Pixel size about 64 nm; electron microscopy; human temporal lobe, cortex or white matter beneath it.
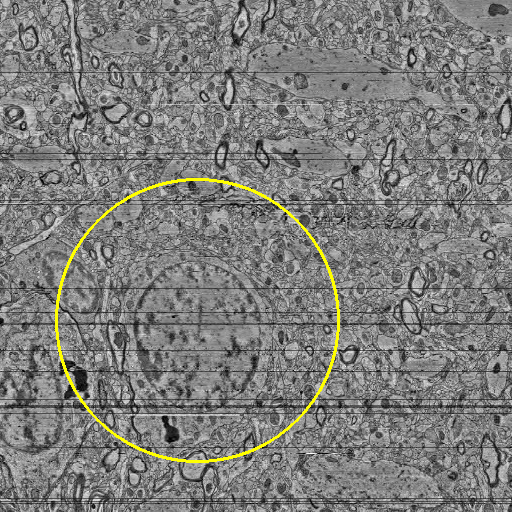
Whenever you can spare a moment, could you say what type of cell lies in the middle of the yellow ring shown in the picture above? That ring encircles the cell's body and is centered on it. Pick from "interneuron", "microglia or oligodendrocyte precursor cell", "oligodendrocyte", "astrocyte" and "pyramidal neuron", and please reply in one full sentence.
The cell whose body sits at the middle of the yellow ring is an interneuron.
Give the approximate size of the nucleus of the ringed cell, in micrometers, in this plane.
Approximately 10 by 8 micrometers in this plane.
